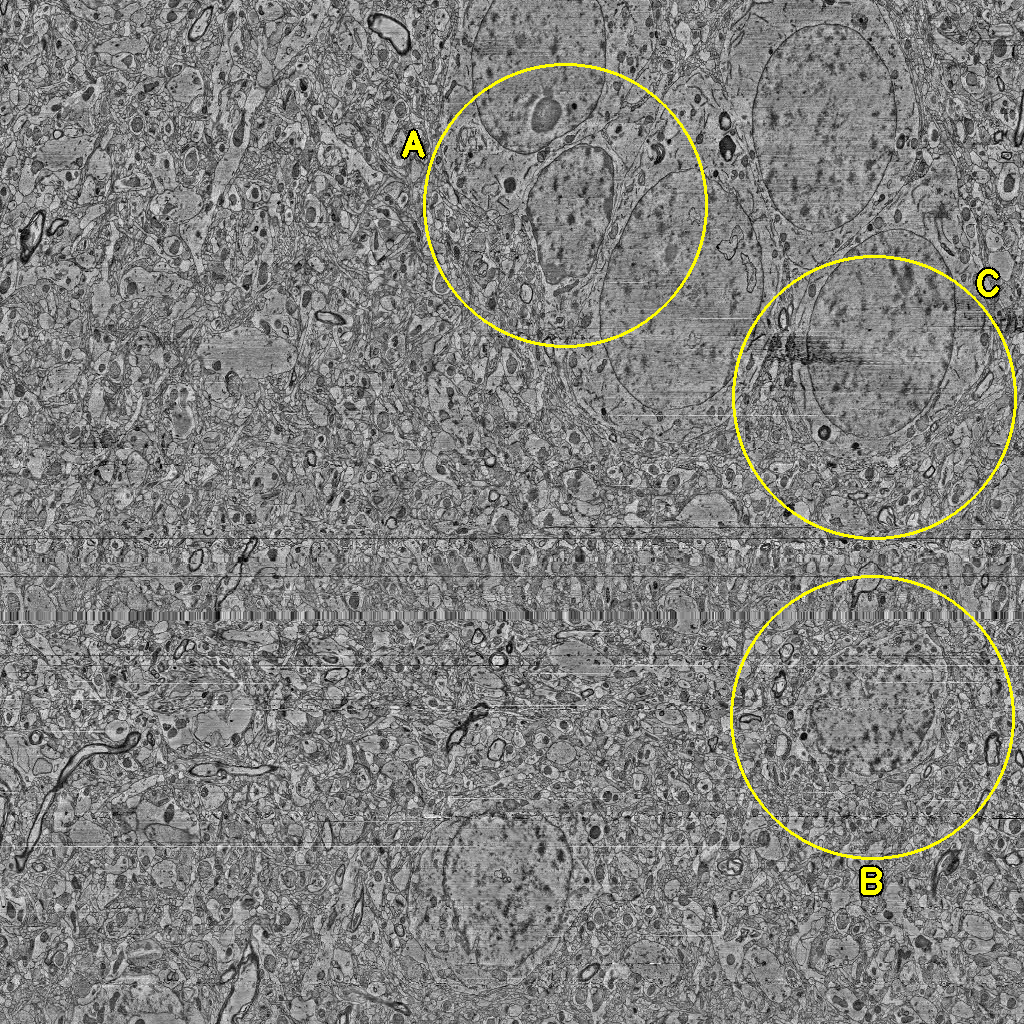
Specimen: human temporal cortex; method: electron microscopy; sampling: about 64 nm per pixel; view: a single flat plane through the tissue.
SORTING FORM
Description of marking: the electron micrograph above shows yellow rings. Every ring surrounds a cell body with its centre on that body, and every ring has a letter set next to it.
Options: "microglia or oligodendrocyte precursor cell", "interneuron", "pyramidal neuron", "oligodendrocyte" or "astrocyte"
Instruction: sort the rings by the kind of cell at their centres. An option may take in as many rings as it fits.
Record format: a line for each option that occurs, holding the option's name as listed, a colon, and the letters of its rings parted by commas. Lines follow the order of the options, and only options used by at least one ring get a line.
microglia or oligodendrocyte precursor cell: A
interneuron: B
pyramidal neuron: C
